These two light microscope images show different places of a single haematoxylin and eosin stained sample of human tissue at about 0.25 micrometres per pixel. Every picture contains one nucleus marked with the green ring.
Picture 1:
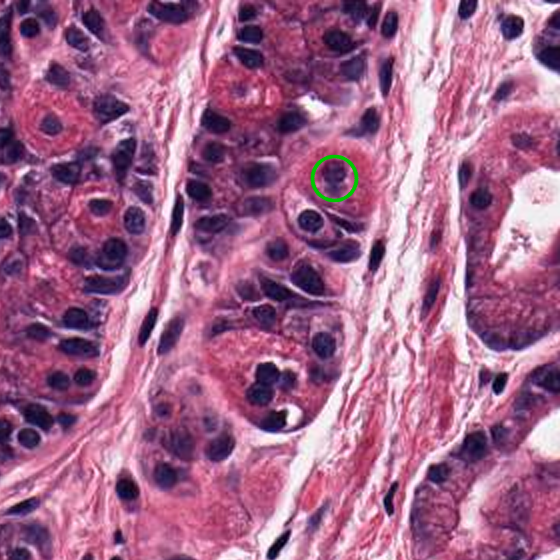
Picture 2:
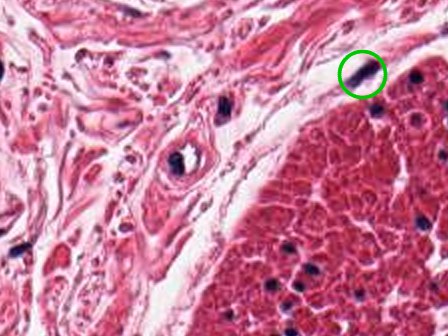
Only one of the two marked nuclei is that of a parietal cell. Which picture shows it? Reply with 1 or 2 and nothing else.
1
